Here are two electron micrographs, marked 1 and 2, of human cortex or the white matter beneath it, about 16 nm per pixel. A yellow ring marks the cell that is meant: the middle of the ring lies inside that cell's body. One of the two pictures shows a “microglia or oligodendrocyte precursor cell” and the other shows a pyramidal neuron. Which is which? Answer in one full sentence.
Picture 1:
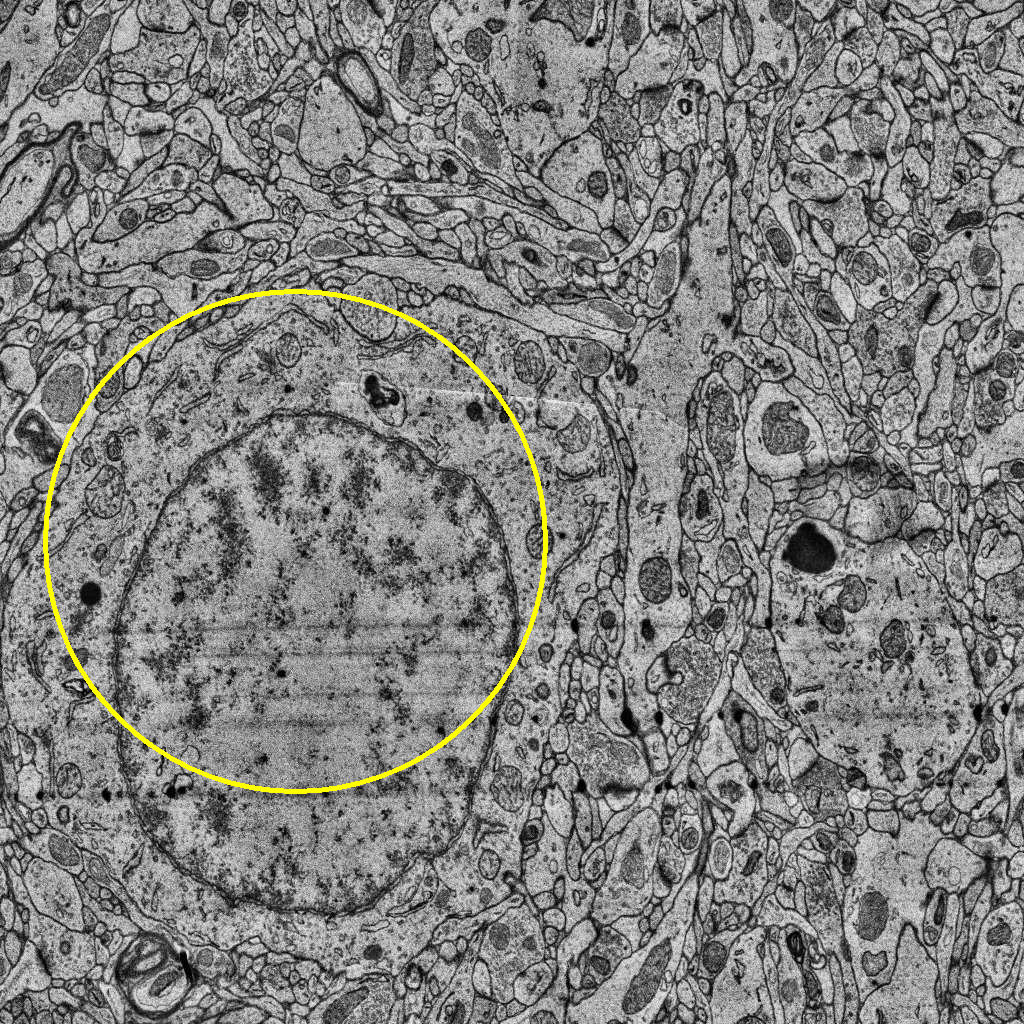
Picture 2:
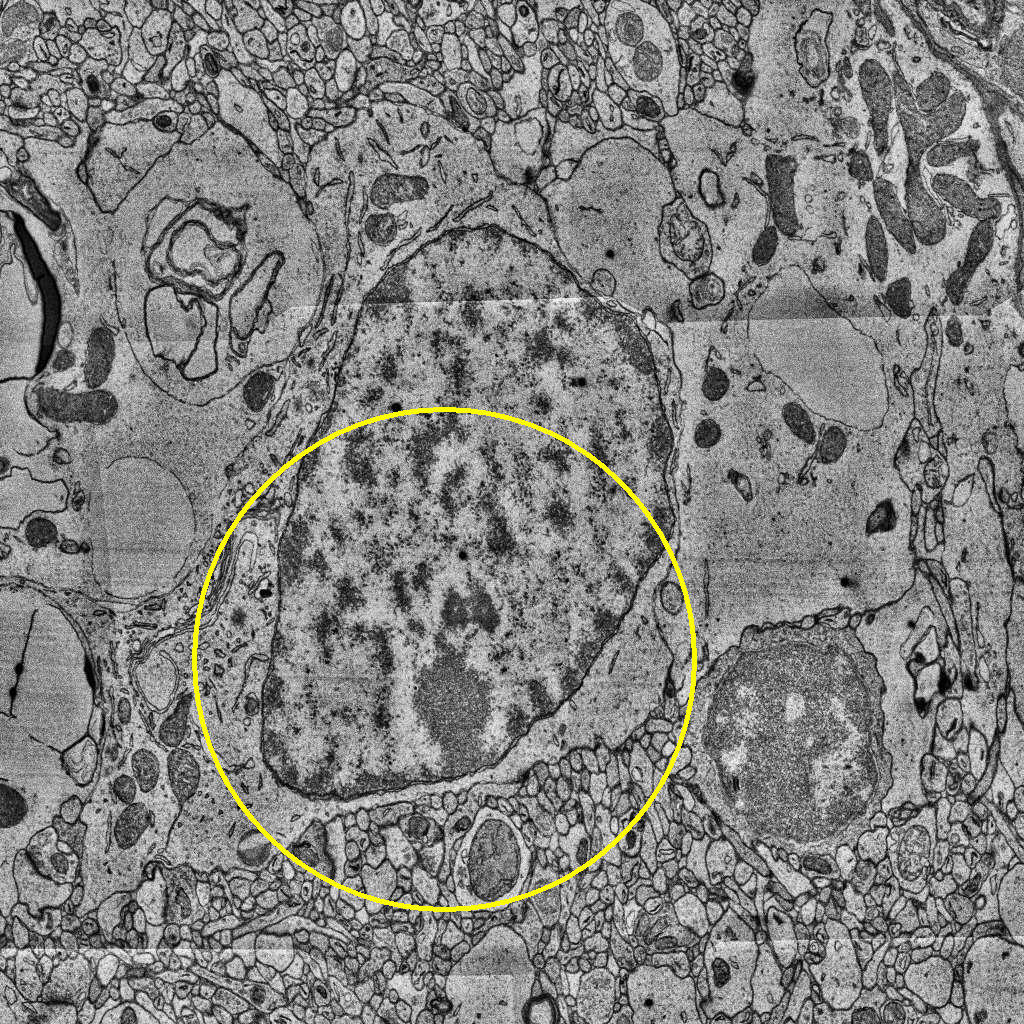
Picture 2 shows a “microglia or oligodendrocyte precursor cell”, while picture 1 shows a pyramidal neuron.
